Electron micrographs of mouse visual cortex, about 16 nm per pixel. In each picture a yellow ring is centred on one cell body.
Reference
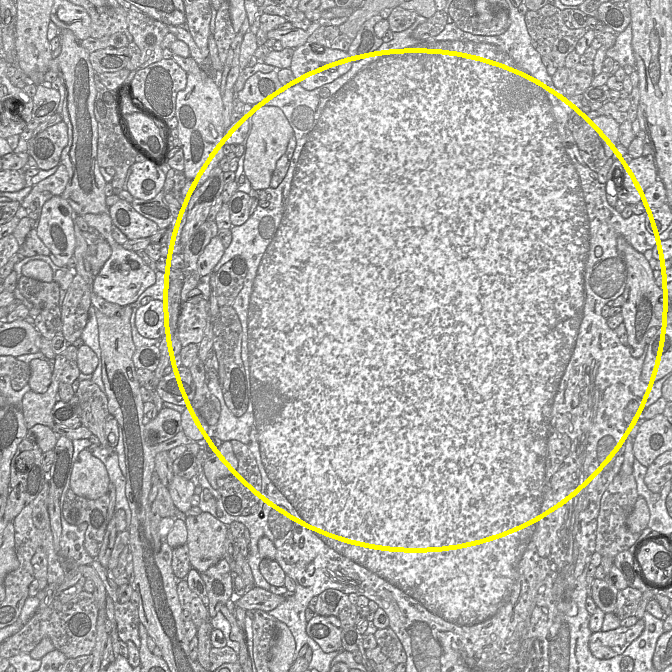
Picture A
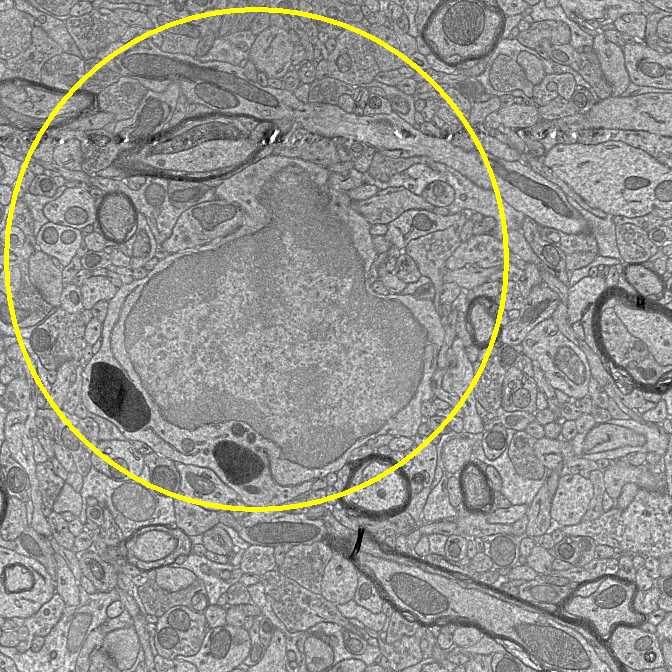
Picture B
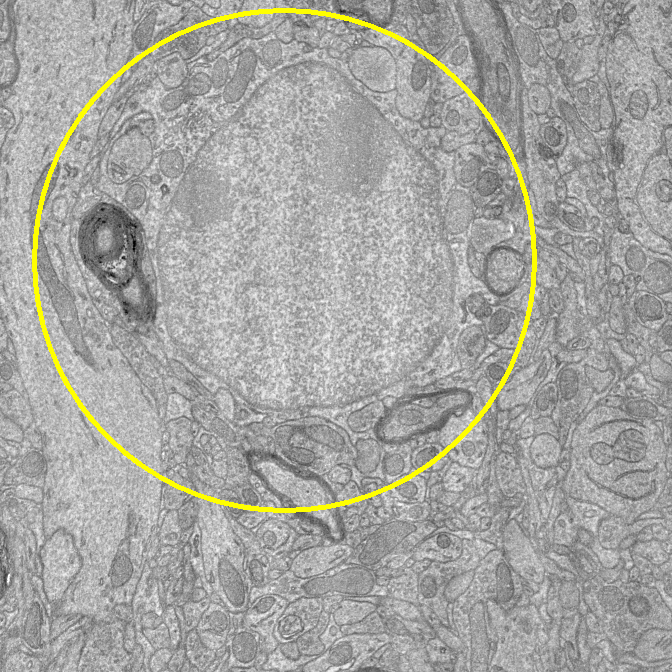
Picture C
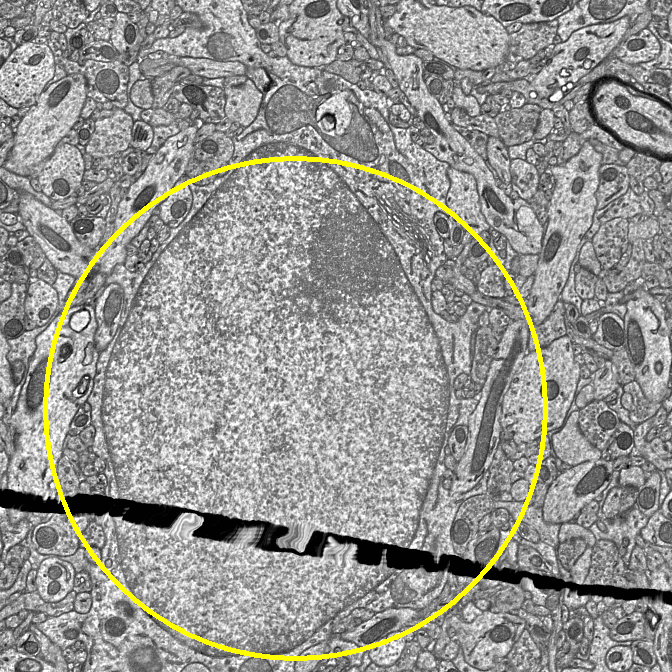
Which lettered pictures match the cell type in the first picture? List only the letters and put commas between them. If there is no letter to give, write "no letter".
B, C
